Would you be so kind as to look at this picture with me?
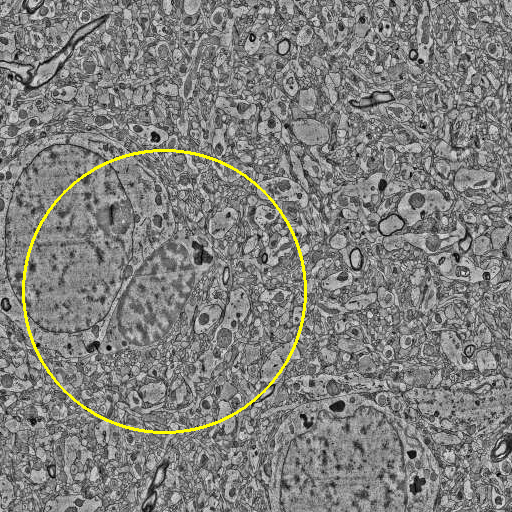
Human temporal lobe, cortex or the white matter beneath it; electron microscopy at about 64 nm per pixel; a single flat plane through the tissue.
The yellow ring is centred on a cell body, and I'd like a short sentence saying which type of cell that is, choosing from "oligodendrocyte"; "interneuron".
The cell body in the ring belongs to an oligodendrocyte.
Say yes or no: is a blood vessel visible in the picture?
No, there is no blood vessel.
